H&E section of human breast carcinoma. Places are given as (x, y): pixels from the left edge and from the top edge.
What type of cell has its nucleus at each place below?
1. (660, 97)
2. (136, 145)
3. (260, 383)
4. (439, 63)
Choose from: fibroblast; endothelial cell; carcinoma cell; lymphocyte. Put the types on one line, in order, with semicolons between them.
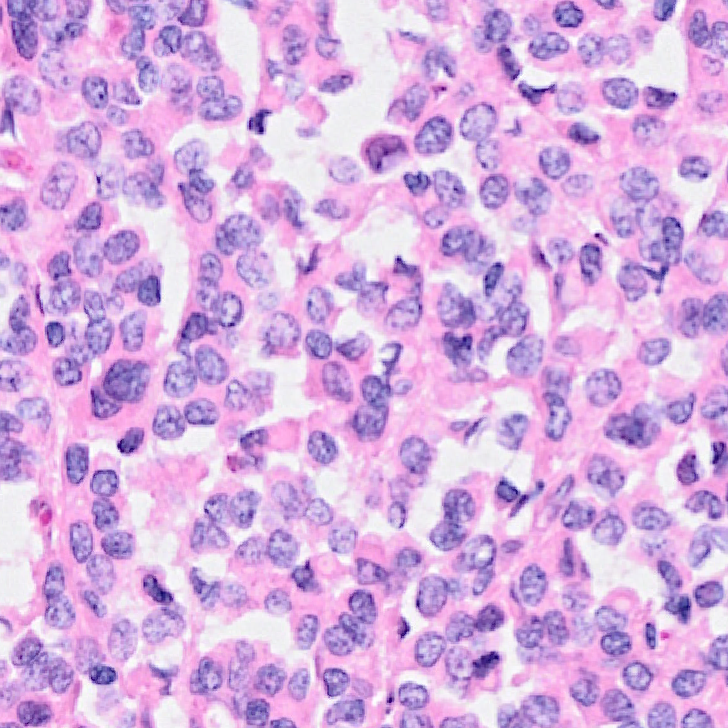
carcinoma cell; carcinoma cell; carcinoma cell; endothelial cell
